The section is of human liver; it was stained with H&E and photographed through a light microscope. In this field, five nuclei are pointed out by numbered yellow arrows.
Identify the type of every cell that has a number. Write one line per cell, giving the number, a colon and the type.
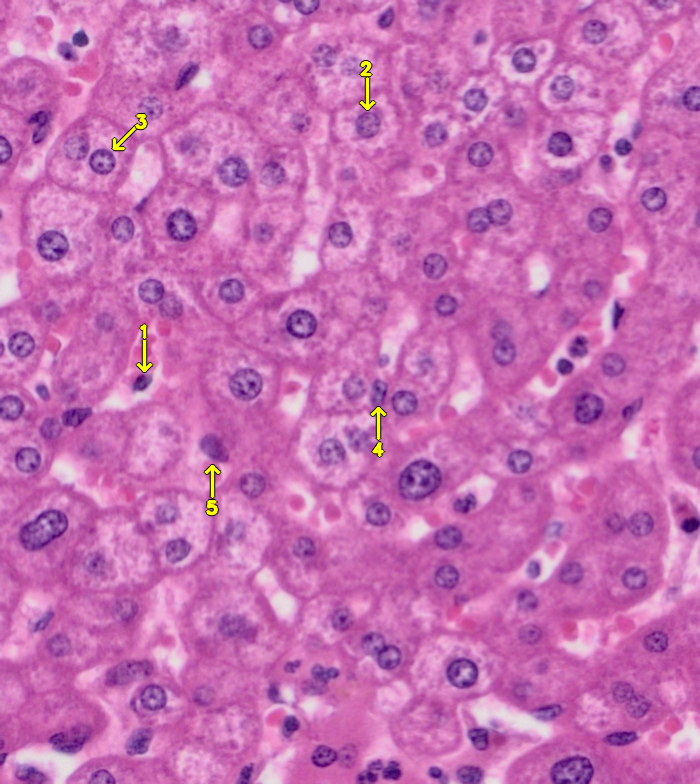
1: lymphocyte
2: hepatocyte
3: hepatocyte
4: fibroblast or stellate cell
5: endothelial cell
